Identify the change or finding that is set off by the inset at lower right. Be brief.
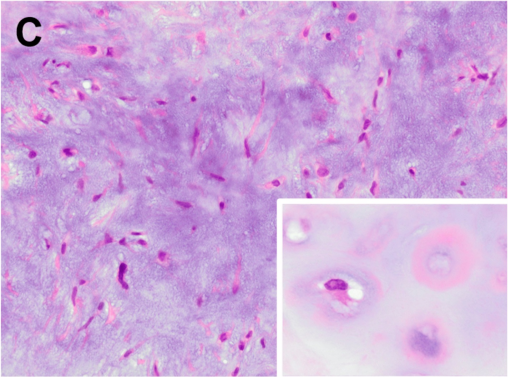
Cartilage differentiation.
